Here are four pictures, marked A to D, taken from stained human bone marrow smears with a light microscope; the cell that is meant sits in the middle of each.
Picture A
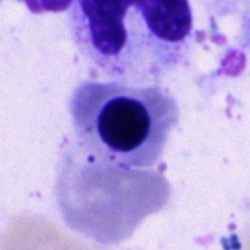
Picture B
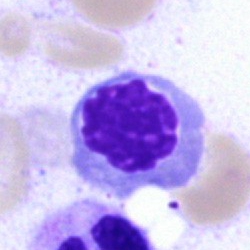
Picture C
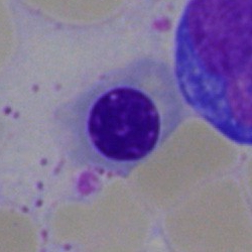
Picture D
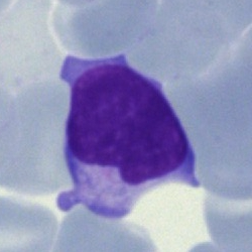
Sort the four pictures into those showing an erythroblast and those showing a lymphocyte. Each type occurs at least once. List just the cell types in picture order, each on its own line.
erythroblast
erythroblast
erythroblast
lymphocyte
